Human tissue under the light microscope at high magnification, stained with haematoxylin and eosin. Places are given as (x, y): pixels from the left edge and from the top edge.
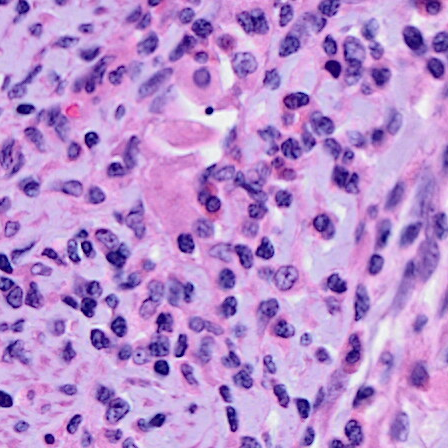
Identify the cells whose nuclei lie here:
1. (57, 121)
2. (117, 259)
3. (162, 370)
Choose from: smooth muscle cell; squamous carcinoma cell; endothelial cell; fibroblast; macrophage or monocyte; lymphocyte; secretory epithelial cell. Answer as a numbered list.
1. endothelial cell
2. lymphocyte
3. lymphocyte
